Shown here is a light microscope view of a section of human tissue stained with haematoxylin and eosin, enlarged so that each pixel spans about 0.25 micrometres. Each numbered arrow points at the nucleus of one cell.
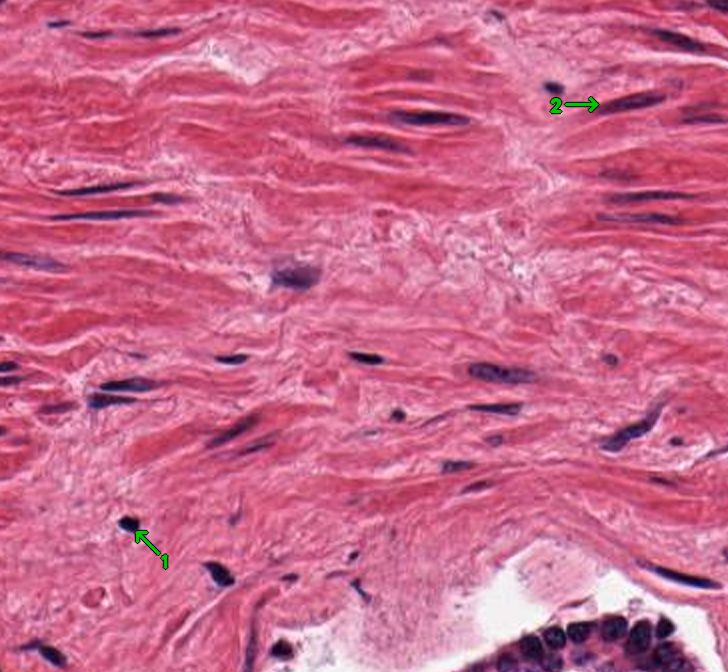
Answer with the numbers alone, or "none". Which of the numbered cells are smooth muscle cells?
2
